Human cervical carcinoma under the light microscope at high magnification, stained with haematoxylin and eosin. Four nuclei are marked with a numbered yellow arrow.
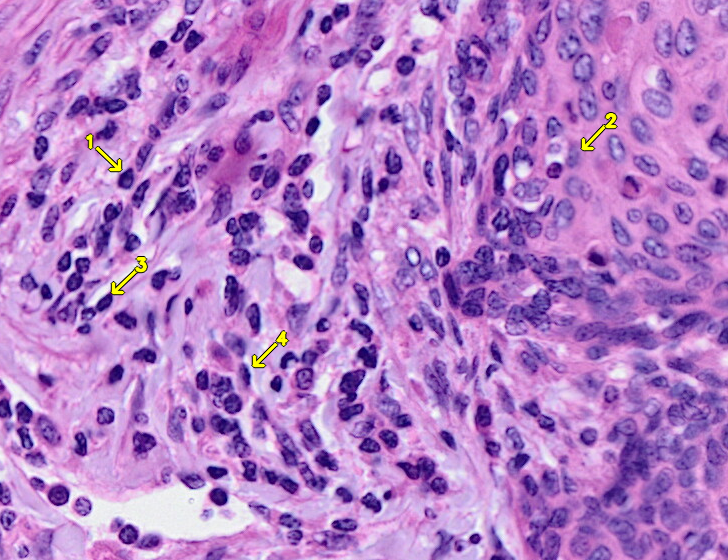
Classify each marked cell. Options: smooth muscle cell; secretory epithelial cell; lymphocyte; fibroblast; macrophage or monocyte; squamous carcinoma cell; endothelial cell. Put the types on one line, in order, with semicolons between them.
lymphocyte; squamous carcinoma cell; lymphocyte; lymphocyte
